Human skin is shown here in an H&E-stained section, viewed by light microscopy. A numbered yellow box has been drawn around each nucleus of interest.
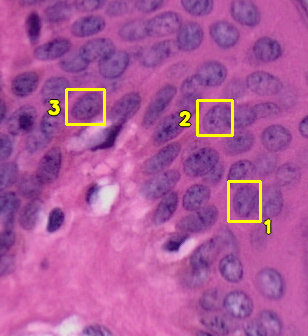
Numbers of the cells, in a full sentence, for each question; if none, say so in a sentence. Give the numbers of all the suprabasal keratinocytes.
Each of the cells numbered 1 and 2 is among the suprabasal keratinocytes.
